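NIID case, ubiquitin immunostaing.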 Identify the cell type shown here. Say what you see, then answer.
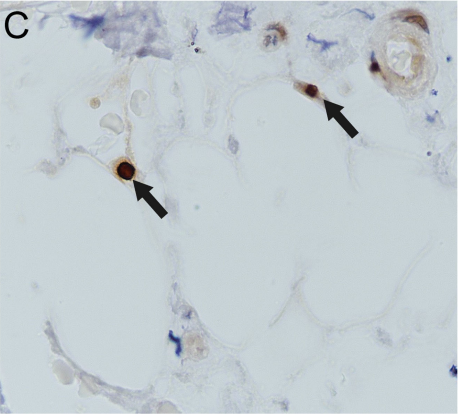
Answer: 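Large empty polygonal spaces bounded by thin membranes. Flattened nuclei sit at the edges of the spaces. That points to this answer: fat cells.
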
